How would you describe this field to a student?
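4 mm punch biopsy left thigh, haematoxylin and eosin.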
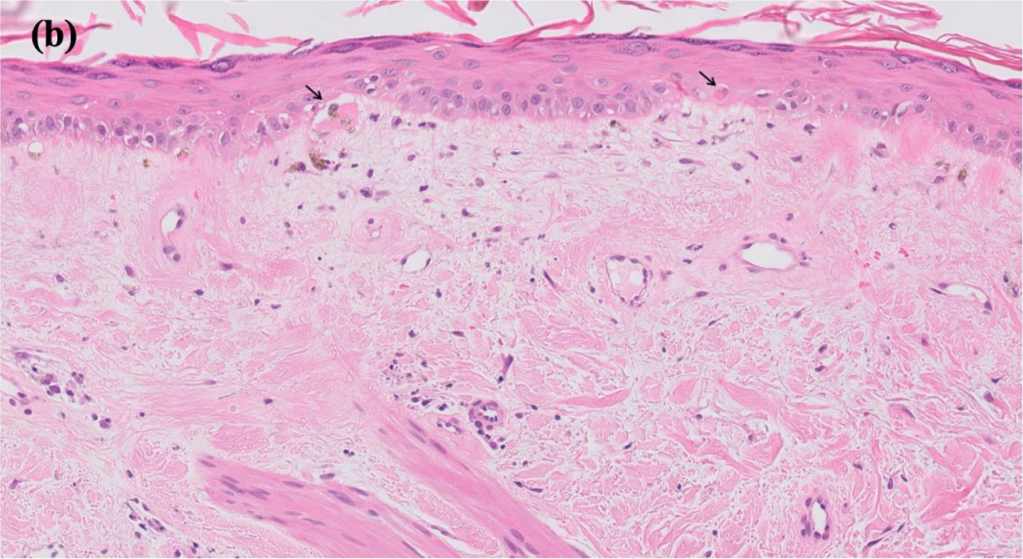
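This is skin, with the epidermis across the top and the papillary and upper reticular dermis below it. Along the basal layer, clear vacuoles make the dermoepidermal junction look pale and indistinct. Scattered single keratinocytes in the lower epidermis have become rounded, bright pink bodies that sit in clear spaces. Coarse brown pigment granules lie at the junction and in the upper dermis just beneath it.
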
